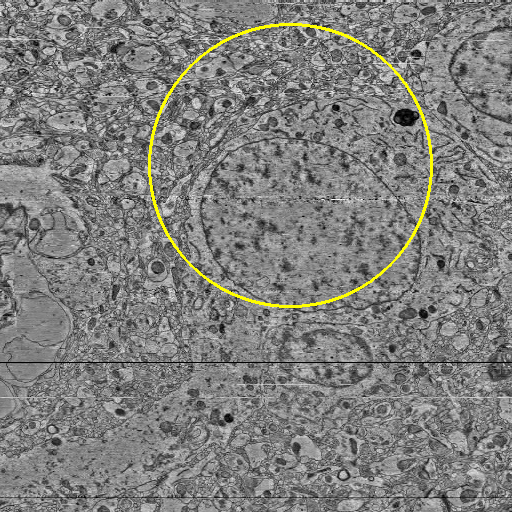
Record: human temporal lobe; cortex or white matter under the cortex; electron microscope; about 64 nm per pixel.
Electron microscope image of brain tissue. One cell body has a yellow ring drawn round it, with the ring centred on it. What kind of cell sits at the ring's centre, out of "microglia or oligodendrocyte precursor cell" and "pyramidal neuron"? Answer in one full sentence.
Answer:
It is a pyramidal neuron whose cell body sits at the centre of the yellow ring.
